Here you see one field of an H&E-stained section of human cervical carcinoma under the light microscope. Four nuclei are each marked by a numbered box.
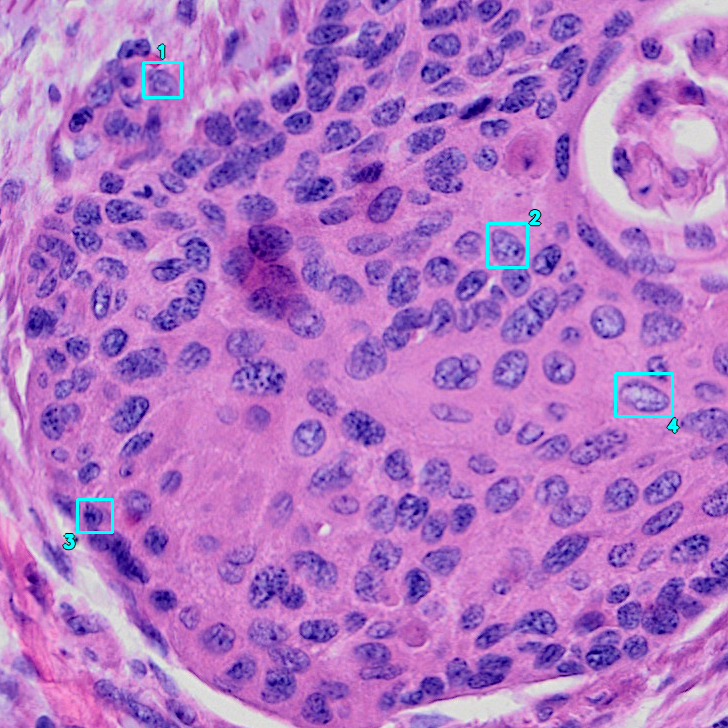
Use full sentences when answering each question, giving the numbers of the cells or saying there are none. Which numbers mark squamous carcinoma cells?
The cells numbered 2, 3 and 4 fall into the category of squamous carcinoma cells.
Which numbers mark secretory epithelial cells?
The numbered cells are all of types other than secretory epithelial cells.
